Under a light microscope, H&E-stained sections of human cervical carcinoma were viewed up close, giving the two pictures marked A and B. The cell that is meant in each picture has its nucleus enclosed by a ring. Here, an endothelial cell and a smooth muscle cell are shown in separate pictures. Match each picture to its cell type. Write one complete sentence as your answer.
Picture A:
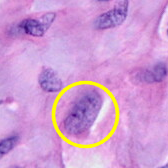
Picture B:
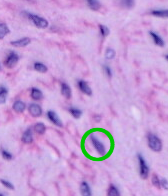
The cell in picture A is an endothelial cell, and the one in picture B is a smooth muscle cell.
